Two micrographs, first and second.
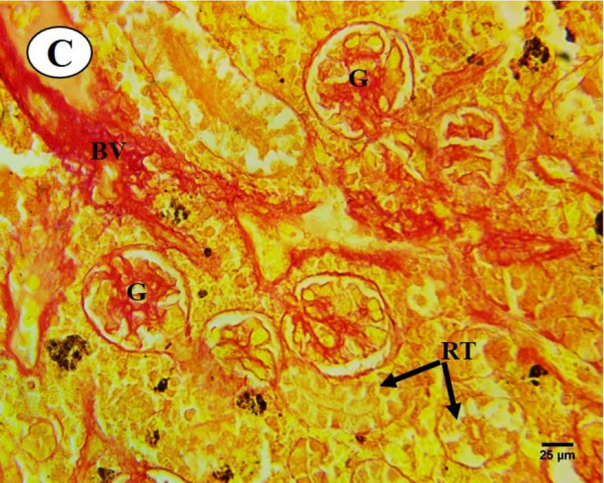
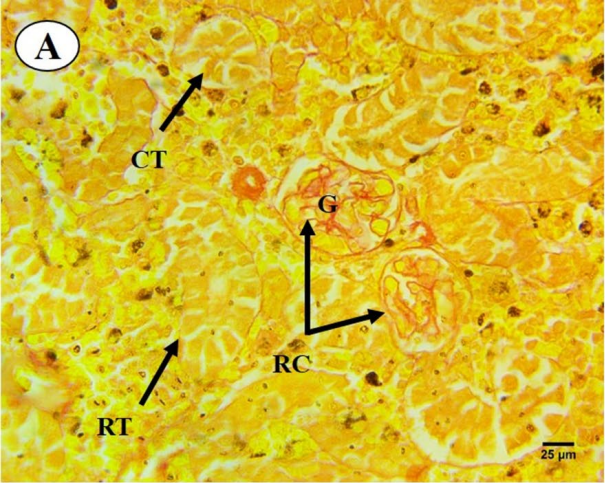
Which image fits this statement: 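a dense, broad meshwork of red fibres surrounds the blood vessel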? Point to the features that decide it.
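First image: a wide band of intense red fibres runs diagonally along a vessel and spreads into the nearby tissue.
The first image.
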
